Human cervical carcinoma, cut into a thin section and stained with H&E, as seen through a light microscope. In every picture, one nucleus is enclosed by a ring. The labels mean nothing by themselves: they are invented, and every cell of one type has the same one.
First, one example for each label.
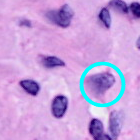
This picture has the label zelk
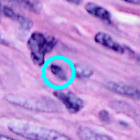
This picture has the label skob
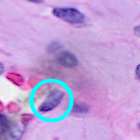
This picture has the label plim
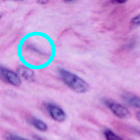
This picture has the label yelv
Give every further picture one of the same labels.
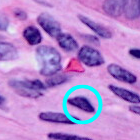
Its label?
zelk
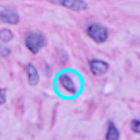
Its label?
yelv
